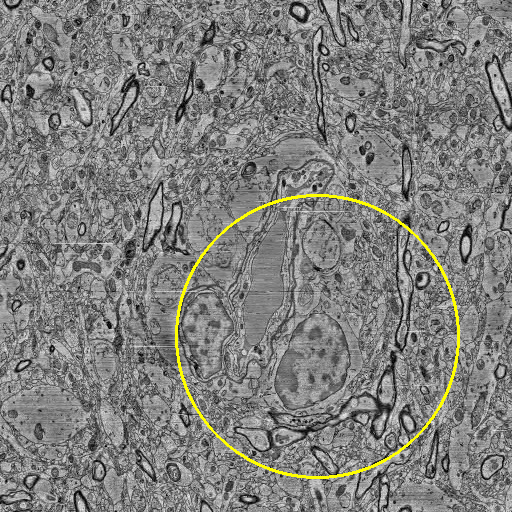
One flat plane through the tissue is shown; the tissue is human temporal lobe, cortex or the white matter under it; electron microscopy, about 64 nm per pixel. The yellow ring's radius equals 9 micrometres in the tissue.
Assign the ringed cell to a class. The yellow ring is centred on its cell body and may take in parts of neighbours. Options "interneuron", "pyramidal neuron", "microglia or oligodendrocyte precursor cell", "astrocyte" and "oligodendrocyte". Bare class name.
microglia or oligodendrocyte precursor cell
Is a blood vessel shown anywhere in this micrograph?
Yes.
